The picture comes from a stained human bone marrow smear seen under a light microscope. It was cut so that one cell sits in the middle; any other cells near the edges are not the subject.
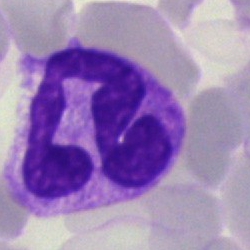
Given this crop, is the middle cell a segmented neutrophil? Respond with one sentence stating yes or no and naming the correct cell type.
Yes, that middle cell in the crop is a segmented neutrophil.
